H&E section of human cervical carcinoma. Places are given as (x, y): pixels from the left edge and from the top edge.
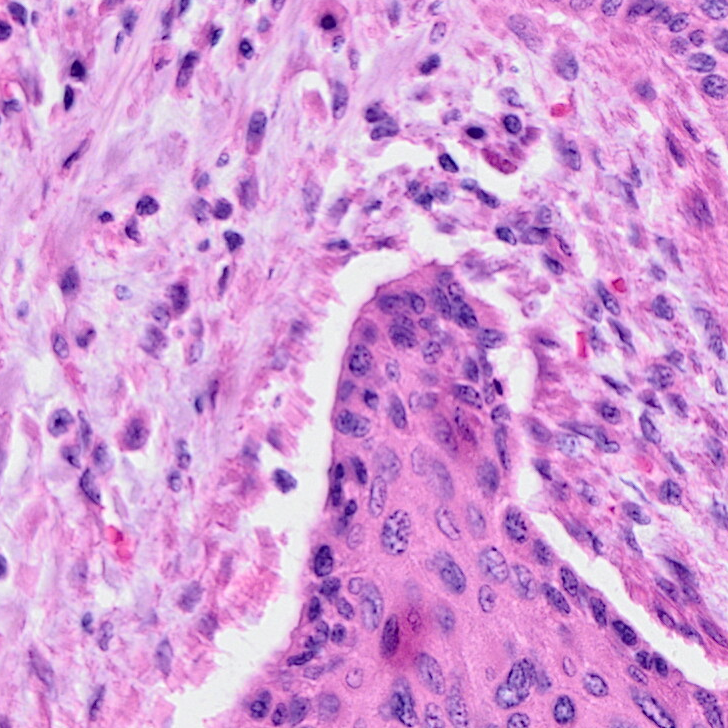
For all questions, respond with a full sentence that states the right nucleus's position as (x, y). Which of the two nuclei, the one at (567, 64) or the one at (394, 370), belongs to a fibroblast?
The nucleus at (567, 64) is part of a fibroblast, while the other is not.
